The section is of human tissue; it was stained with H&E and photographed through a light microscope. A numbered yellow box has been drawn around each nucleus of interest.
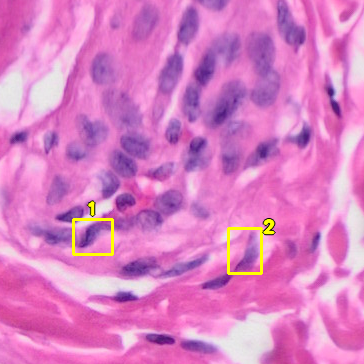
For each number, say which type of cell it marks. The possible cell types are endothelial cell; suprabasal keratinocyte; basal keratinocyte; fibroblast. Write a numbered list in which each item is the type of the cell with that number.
1. endothelial cell
2. fibroblast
